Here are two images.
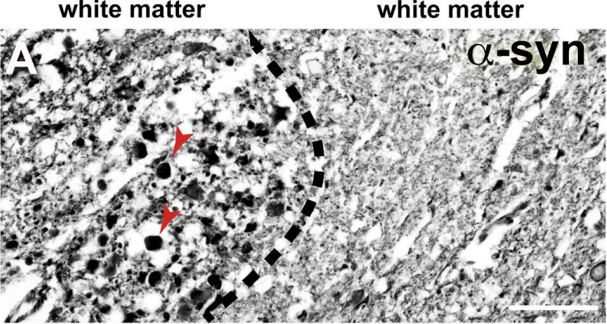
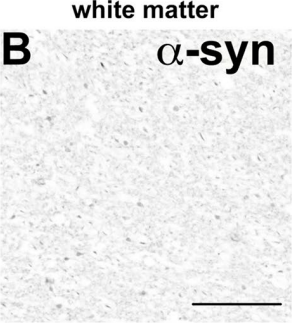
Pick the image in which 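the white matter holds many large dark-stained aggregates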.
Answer: the first image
